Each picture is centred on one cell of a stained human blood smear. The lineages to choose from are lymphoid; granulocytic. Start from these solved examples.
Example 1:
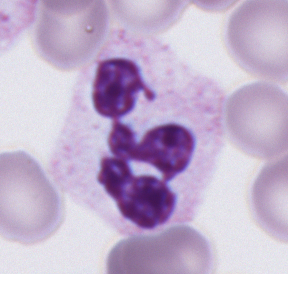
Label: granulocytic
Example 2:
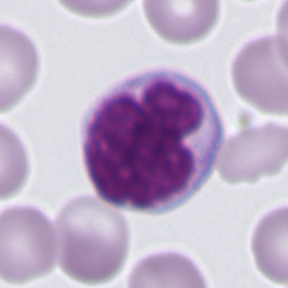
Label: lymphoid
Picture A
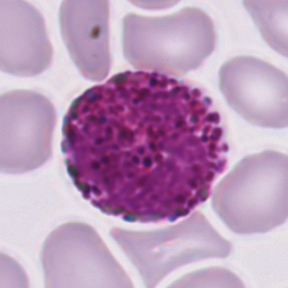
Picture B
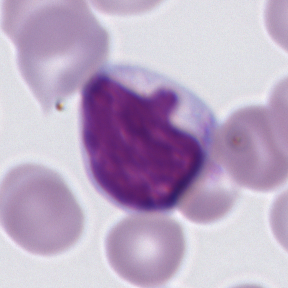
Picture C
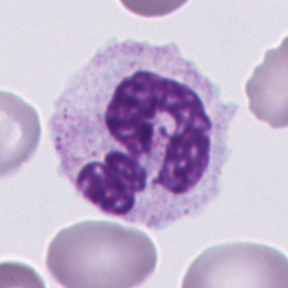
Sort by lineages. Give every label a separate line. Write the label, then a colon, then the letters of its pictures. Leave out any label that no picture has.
lymphoid: B
granulocytic: A, C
